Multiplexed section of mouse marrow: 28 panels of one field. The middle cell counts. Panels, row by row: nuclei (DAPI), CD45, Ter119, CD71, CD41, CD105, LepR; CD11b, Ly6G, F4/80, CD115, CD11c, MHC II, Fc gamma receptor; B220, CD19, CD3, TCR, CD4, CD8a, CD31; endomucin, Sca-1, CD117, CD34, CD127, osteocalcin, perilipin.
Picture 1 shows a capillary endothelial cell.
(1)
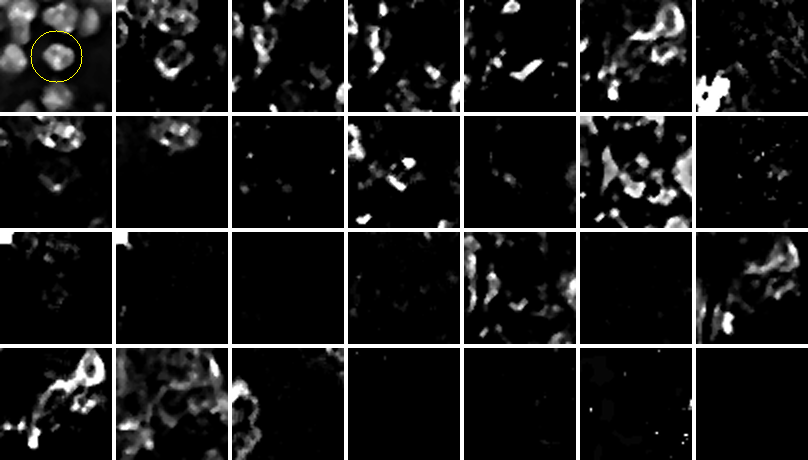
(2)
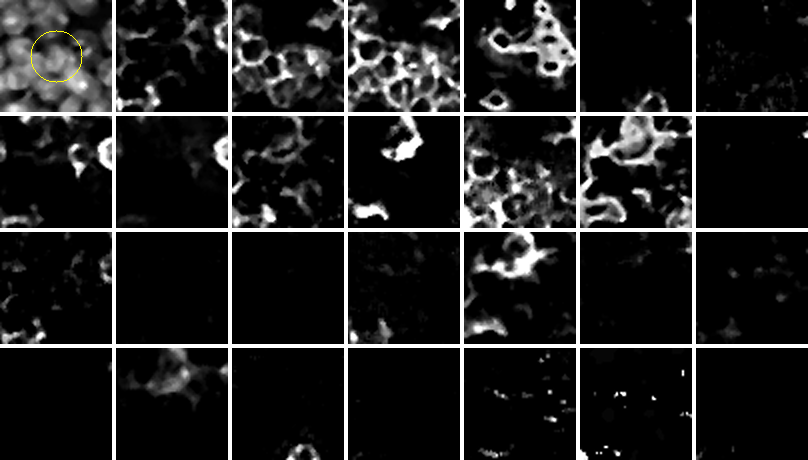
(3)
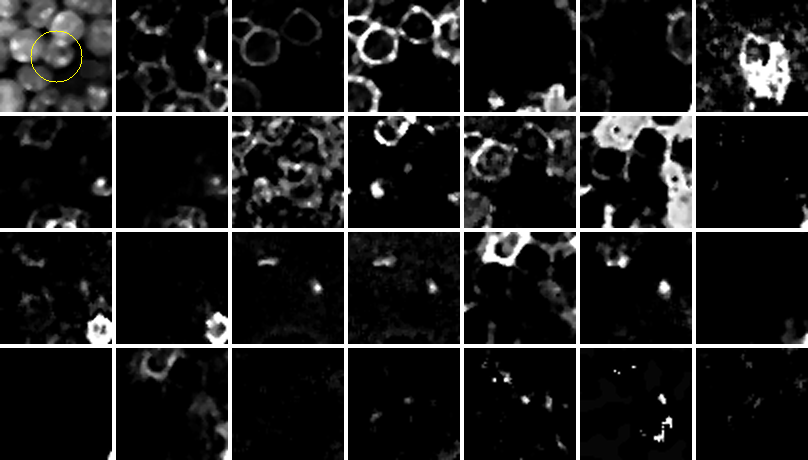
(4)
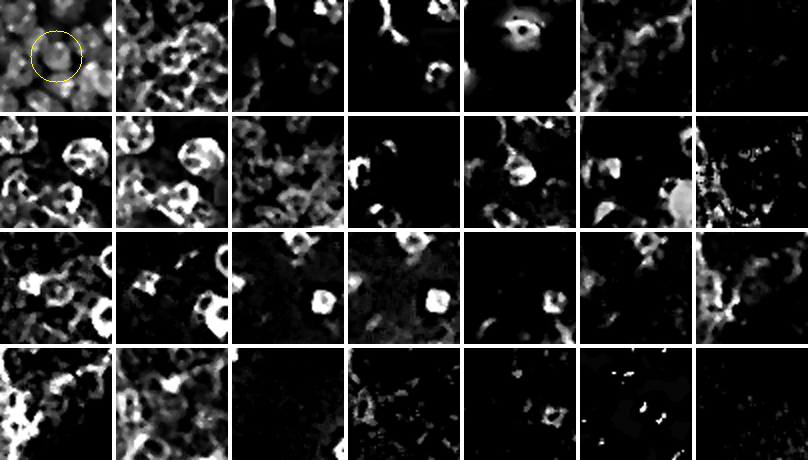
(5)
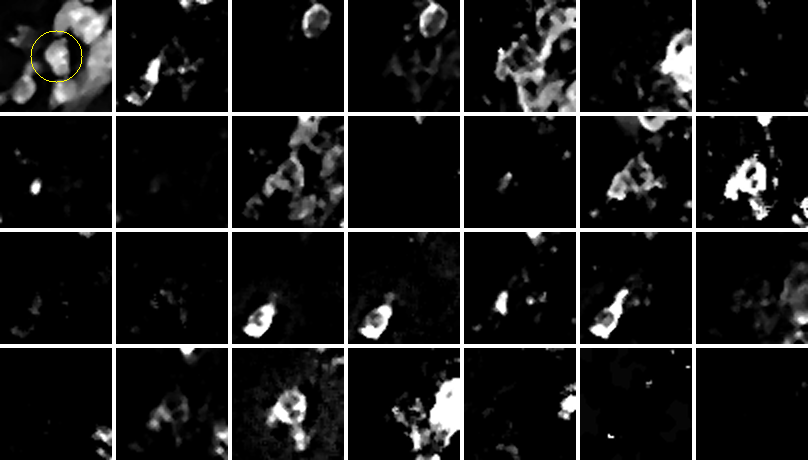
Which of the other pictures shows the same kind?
Picture 4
